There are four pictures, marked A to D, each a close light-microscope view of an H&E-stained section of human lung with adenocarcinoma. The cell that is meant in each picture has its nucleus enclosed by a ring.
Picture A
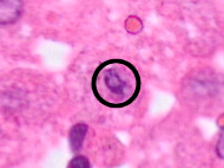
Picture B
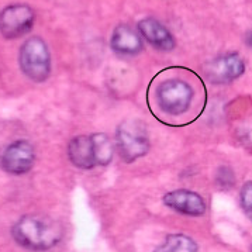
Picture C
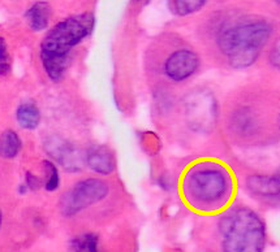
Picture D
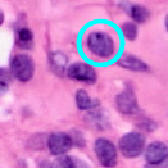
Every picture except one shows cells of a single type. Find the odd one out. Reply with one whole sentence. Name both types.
The others show “macrophages or monocytes”, but picture D shows a mast cell.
